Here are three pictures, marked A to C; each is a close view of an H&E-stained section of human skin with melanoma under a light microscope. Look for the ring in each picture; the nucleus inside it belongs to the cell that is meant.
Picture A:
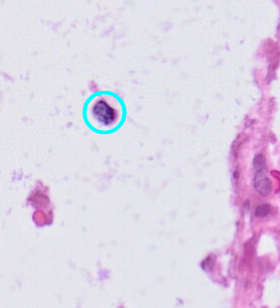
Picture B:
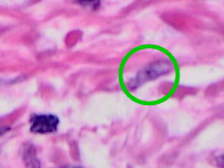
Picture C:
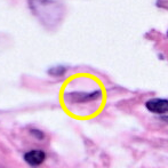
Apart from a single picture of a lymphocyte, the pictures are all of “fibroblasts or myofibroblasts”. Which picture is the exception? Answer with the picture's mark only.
A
